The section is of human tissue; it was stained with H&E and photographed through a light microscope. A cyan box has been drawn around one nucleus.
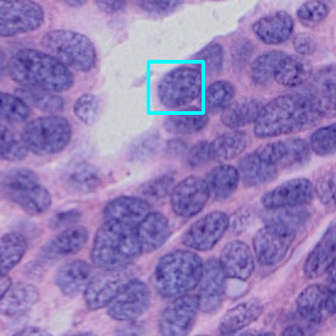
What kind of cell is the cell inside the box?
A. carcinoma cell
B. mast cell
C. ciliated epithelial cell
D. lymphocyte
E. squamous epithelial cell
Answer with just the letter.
A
